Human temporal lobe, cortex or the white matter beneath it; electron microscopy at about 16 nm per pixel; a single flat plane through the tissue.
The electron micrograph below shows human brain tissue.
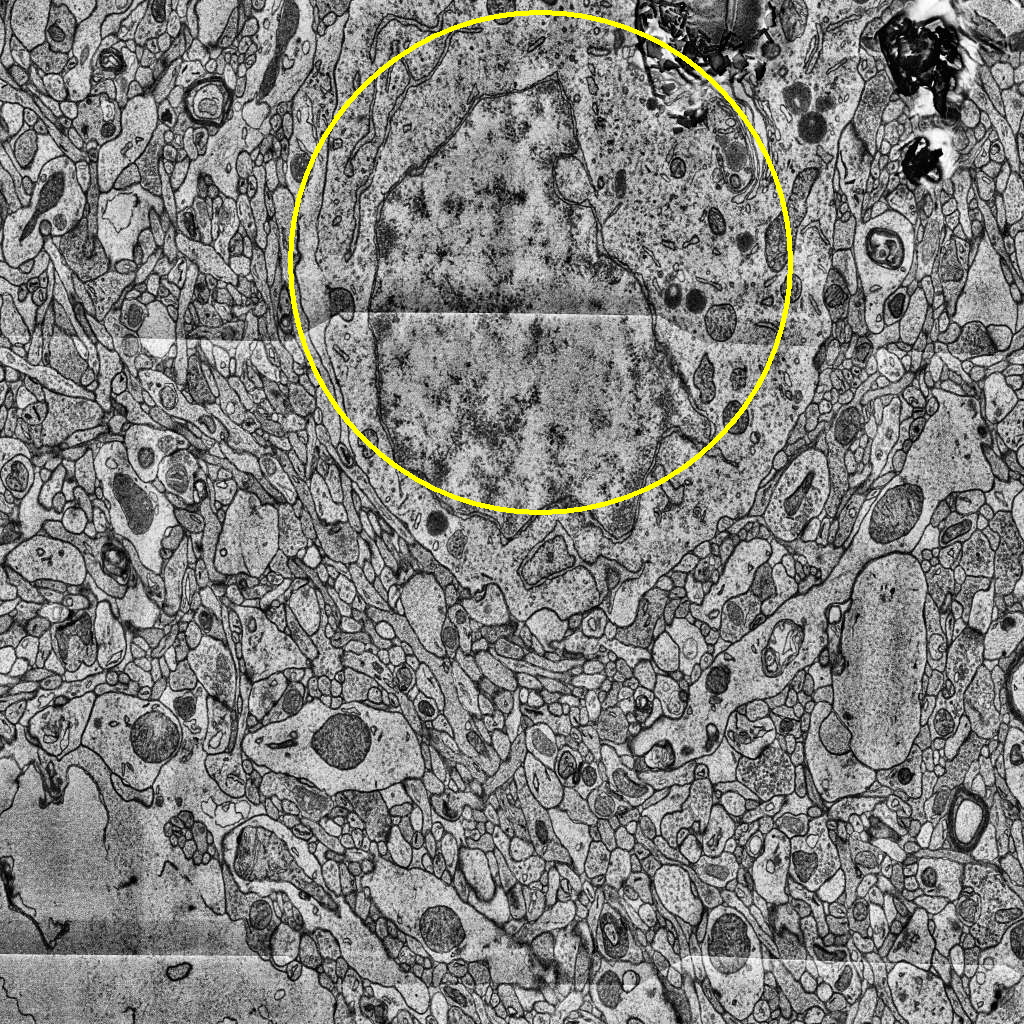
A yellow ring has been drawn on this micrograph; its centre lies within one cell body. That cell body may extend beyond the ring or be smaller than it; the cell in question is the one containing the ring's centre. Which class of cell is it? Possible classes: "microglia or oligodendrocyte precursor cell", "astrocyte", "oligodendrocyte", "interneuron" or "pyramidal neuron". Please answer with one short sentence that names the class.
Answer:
In the centre of the ring sits an interneuron.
